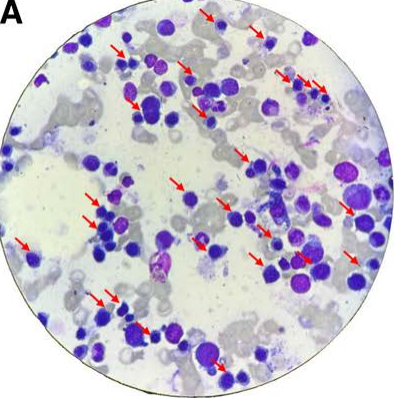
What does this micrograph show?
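A bone marrow smear crowded with erythroblasts: many small round cells with dense, dark purple, round nuclei and a narrow rim of cytoplasm. They lie scattered among pale, non-nucleated red blood cells and a few larger cells with more open purple nuclei and more abundant cytoplasm.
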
